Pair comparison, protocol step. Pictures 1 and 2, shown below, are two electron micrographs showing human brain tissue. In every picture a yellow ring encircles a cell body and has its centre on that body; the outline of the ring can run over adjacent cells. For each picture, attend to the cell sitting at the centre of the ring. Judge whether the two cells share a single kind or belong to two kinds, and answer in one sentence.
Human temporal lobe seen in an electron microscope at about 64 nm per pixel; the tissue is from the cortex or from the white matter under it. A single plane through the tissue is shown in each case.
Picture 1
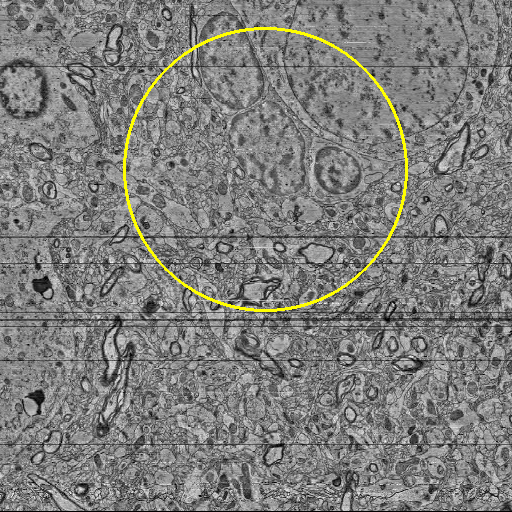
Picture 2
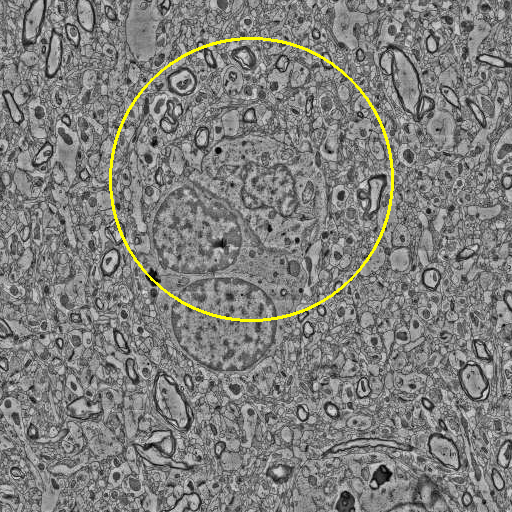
The two cells at the ring centres in Picture 1 and Picture 2 belong to two kinds.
